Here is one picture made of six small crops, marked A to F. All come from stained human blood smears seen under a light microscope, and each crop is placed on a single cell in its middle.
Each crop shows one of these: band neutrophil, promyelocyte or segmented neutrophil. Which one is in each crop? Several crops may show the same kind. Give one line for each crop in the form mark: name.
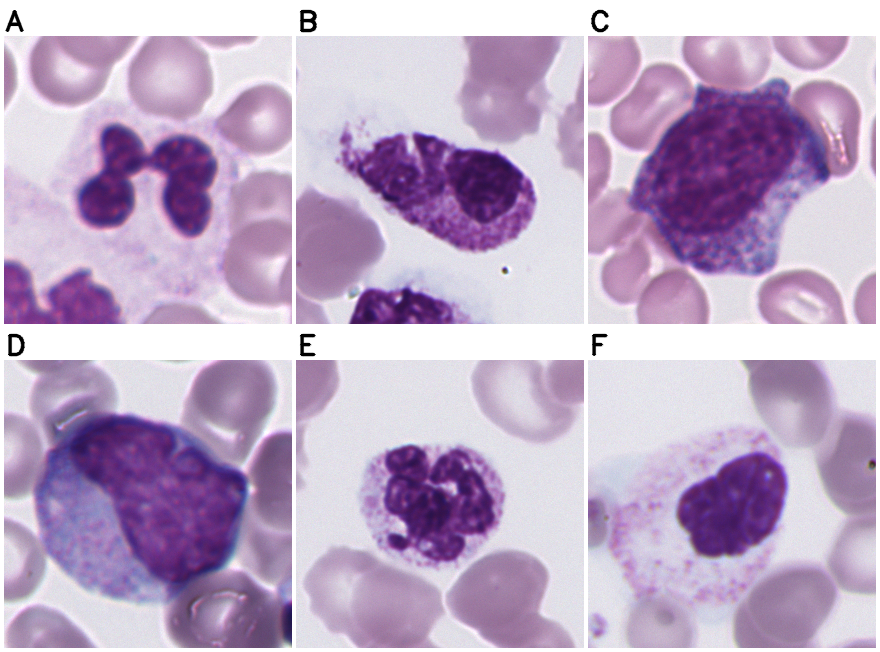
A: segmented neutrophil
B: segmented neutrophil
C: promyelocyte
D: promyelocyte
E: segmented neutrophil
F: segmented neutrophil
